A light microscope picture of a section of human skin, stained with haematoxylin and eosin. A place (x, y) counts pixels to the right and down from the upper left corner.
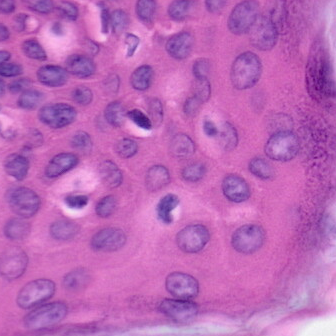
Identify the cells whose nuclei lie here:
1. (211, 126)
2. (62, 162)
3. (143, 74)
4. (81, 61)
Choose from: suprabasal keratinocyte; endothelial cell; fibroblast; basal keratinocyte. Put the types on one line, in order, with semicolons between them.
suprabasal keratinocyte; suprabasal keratinocyte; suprabasal keratinocyte; basal keratinocyte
